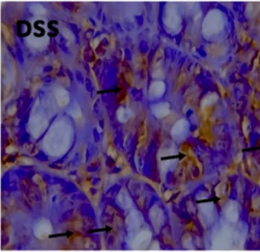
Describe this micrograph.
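These are crypts of an inflamed colon cut across and obliquely, their epithelium counterstained blue. Between the clear, rounded mucus vacuoles of the lining cells lie many cells whose cytoplasm is filled with brown, granular deposits, several marked by arrows. The brown is not confined to a few isolated cells but is spread widely and diffusely through the epithelium of neighbouring crypts. The crypts look crowded and irregular rather than neatly ordered.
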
